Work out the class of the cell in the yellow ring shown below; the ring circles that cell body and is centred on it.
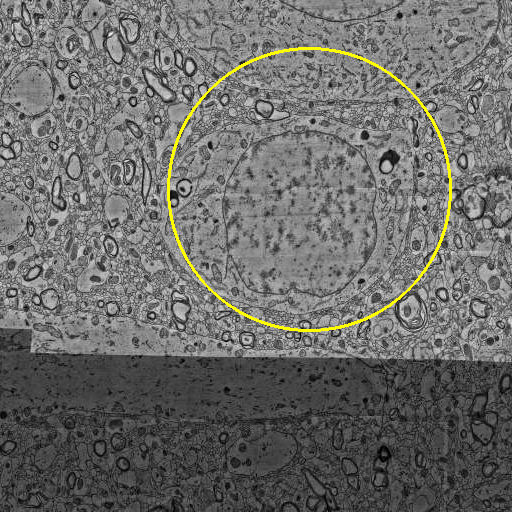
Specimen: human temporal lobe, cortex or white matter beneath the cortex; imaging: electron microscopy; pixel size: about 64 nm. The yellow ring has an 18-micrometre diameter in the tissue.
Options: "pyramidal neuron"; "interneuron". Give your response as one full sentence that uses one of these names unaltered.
The body ringed in yellow, right at the ring's centre, is that of an interneuron.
